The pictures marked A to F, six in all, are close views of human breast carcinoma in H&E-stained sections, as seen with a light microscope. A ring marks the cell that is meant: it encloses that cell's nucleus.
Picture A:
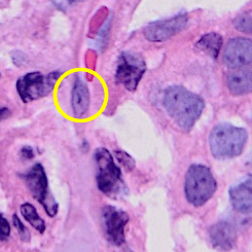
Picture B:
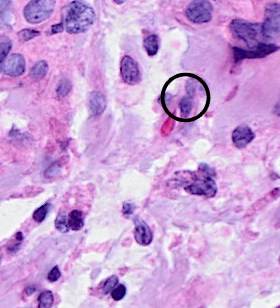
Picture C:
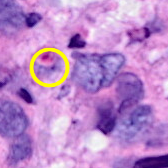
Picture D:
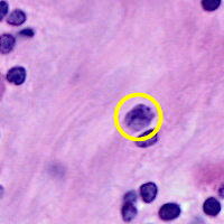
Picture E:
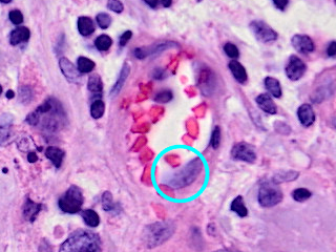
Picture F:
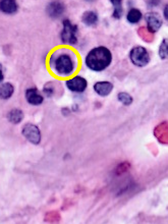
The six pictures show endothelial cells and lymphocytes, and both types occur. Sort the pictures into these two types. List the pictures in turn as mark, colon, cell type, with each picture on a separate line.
A: endothelial cell
B: endothelial cell
C: endothelial cell
D: lymphocyte
E: endothelial cell
F: lymphocyte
